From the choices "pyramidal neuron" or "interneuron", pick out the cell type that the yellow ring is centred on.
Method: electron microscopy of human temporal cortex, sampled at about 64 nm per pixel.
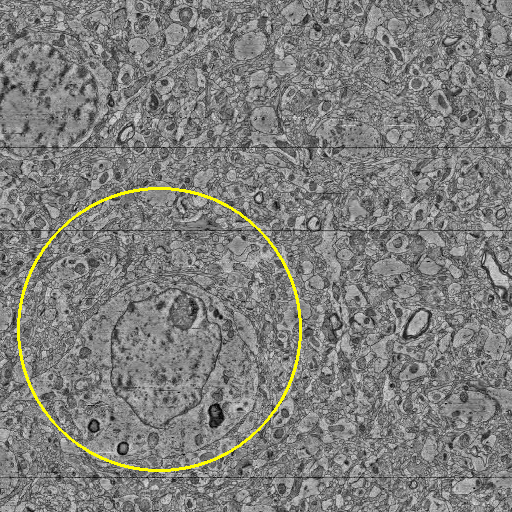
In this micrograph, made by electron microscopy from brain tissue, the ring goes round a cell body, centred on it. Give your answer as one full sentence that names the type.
The yellow ring is centred on a pyramidal neuron, whose cell body it encircles in the picture.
